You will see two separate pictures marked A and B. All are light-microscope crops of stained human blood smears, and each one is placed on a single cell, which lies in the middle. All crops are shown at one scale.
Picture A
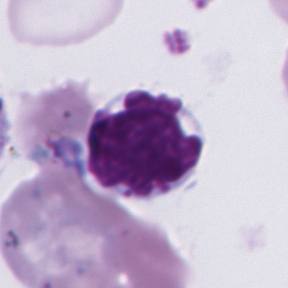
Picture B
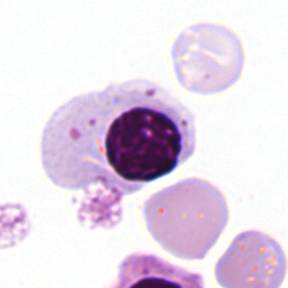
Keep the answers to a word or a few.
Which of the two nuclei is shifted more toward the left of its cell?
A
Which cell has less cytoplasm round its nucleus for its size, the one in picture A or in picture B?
A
